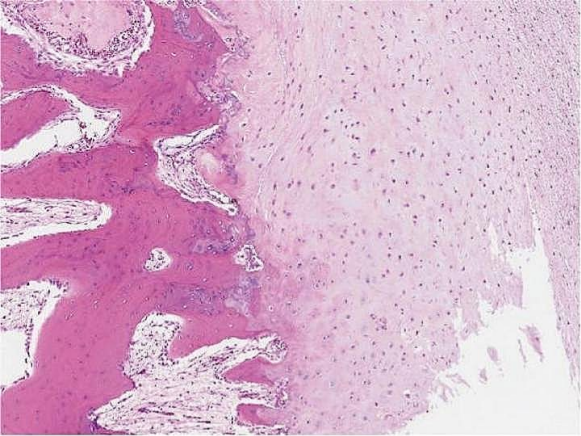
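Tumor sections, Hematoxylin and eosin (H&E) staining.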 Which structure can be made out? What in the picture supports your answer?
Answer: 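Cartilage cap. A broad pale pink zone of cartilage with scattered cells in lacunae lies on one side. Deep pink bone trabeculae with loose stroma between them lie on the other side, meeting the cartilage at an irregular border.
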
